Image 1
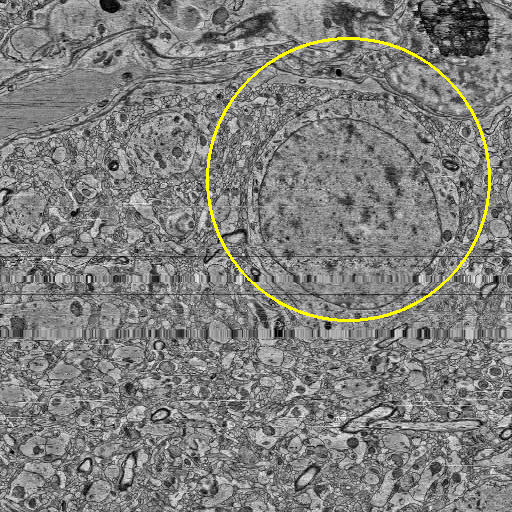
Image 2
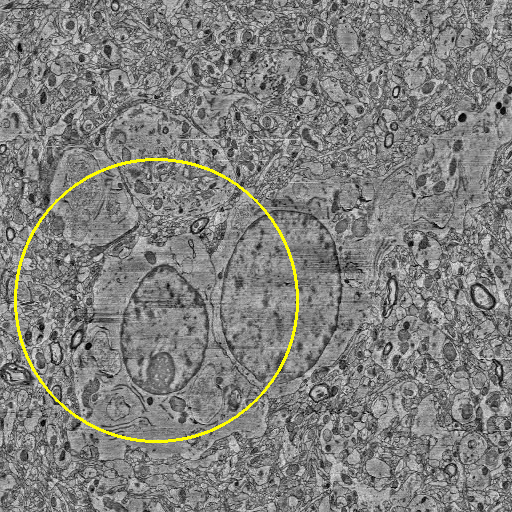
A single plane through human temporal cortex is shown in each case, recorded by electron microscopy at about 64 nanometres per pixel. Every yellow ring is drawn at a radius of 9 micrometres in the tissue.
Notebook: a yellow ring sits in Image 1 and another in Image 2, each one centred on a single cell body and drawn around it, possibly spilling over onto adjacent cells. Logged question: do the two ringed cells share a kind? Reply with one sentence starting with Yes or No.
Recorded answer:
No, the centre cells inside the rings of Image 1 and Image 2 are of two kinds.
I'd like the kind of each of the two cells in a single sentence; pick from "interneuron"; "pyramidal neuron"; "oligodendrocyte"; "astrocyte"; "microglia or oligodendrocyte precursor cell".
The first ring marks a pyramidal neuron, and the second ring marks an astrocyte.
